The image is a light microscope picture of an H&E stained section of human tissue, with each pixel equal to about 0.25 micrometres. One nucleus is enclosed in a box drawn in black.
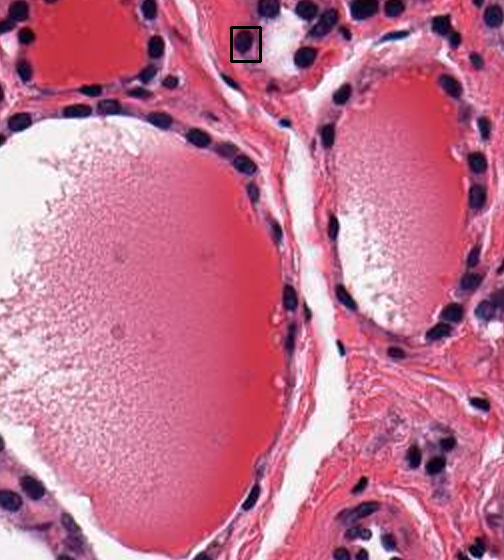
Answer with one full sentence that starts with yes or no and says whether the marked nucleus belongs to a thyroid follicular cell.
Yes, the marked nucleus is in a thyroid follicular cell.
